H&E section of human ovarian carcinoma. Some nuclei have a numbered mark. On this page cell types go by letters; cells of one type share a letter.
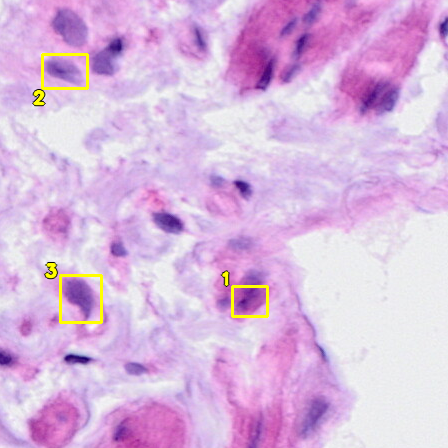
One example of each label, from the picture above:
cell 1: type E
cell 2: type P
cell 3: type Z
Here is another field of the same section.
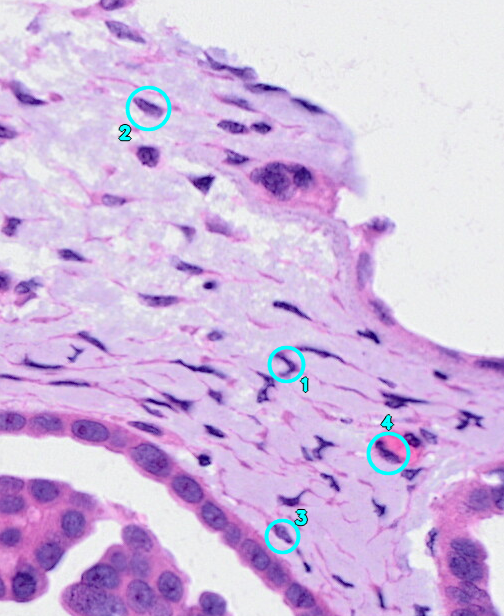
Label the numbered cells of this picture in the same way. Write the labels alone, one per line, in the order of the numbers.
type P
type P
type P
type Z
